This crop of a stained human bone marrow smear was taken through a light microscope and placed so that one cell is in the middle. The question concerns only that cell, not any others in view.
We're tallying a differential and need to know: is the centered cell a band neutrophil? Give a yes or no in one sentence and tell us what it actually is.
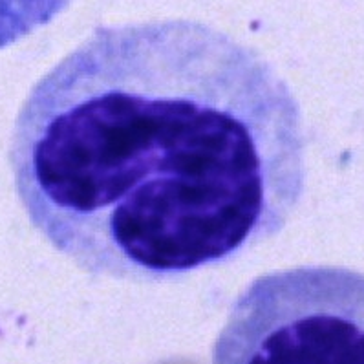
Yes, that middle cell in the crop is a band neutrophil.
